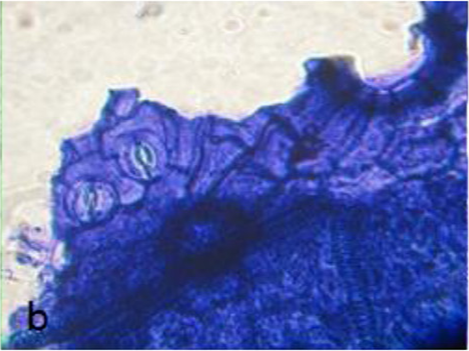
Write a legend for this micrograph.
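The epidermal cells around them are ordinary polygonal cells, with no specially shaped or arranged companions marking off the stomata, so the stomata are of the type without distinct subsidiary cells. Below and to the right the tissue is thicker and stained more darkly, its cells hard to separate, with a faintly striated strand running through it.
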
